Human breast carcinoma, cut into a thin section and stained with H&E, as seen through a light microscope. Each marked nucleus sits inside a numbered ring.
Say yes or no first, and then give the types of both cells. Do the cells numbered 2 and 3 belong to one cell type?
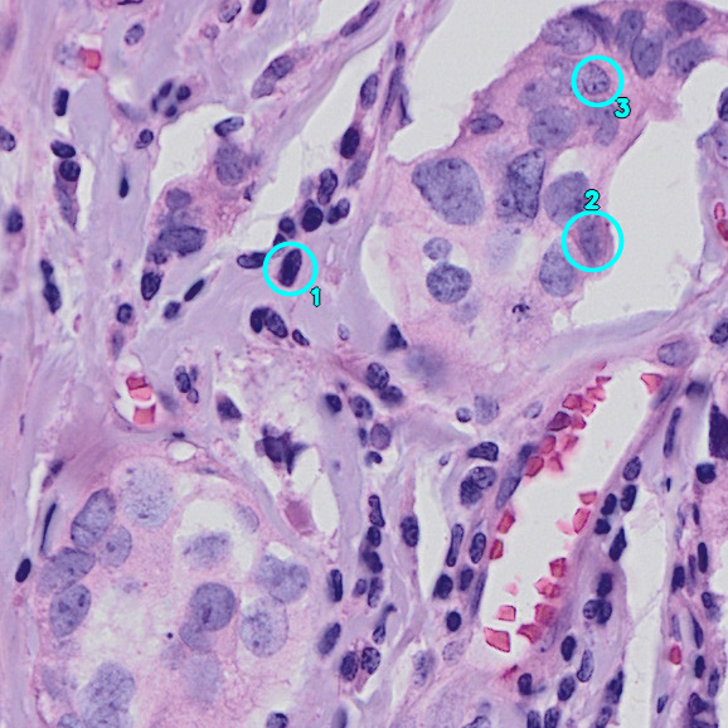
Yes, both cells, 2 and 3, are carcinoma cells.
